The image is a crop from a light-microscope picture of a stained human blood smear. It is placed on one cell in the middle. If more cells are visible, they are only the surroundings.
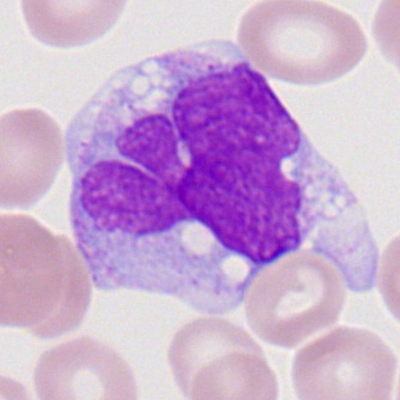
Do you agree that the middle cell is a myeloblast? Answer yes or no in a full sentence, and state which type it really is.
No, wrong label: the middle cell is a monocyte instead of a myeloblast.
